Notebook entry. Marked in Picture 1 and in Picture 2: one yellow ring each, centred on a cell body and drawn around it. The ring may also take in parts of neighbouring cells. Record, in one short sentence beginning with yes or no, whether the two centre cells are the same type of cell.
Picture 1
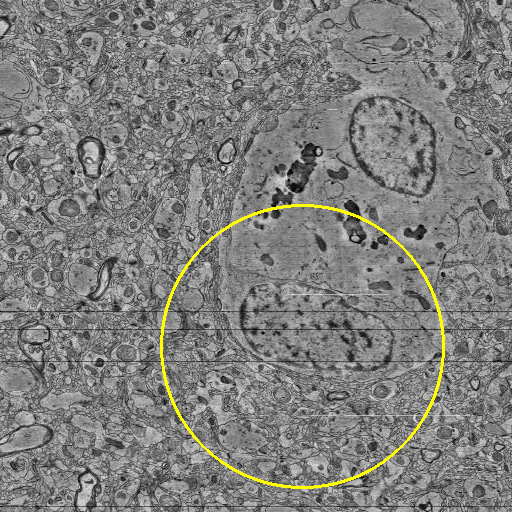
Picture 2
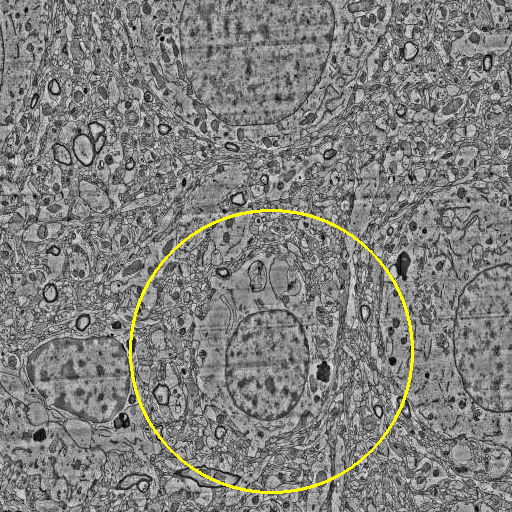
Yes, both are the same type of cell.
